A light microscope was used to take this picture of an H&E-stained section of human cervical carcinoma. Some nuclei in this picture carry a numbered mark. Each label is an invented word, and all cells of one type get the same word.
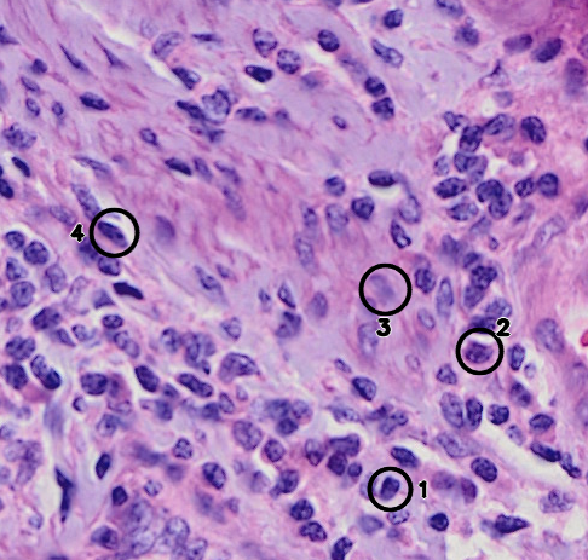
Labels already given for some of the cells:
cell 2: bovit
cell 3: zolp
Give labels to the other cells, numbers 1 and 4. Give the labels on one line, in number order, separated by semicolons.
bovit; bovit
